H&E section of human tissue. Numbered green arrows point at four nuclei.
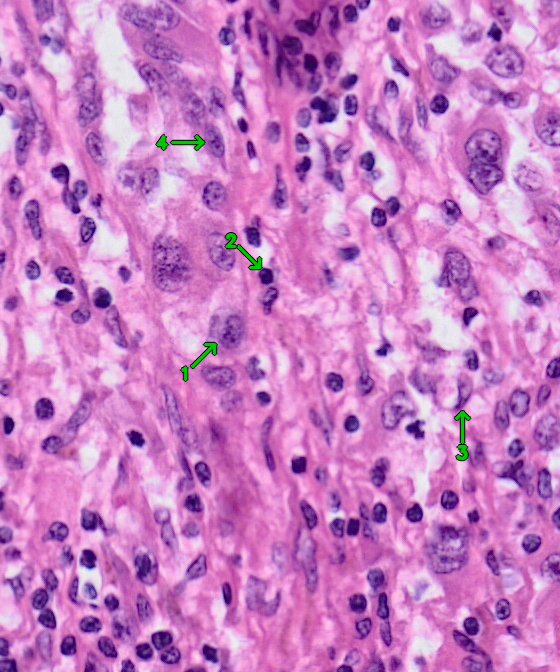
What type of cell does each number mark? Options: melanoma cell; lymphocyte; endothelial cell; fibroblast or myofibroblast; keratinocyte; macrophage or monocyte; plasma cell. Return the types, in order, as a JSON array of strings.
["melanoma cell", "lymphocyte", "fibroblast or myofibroblast", "melanoma cell"]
